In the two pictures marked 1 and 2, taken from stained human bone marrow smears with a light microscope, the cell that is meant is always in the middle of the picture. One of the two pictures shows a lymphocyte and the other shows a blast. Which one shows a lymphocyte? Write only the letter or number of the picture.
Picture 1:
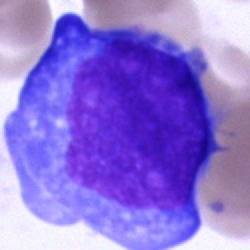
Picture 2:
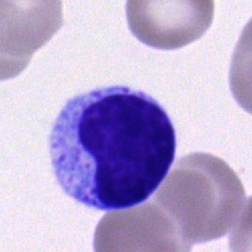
2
